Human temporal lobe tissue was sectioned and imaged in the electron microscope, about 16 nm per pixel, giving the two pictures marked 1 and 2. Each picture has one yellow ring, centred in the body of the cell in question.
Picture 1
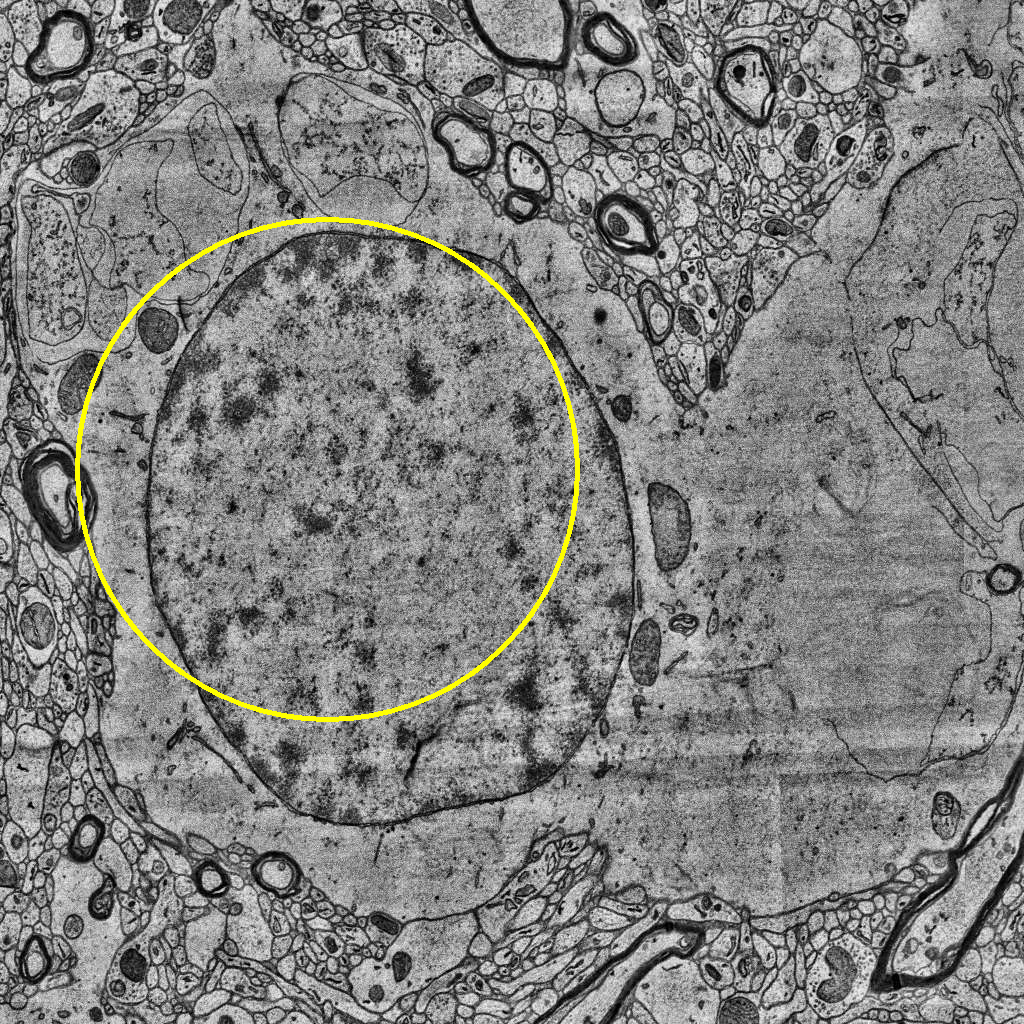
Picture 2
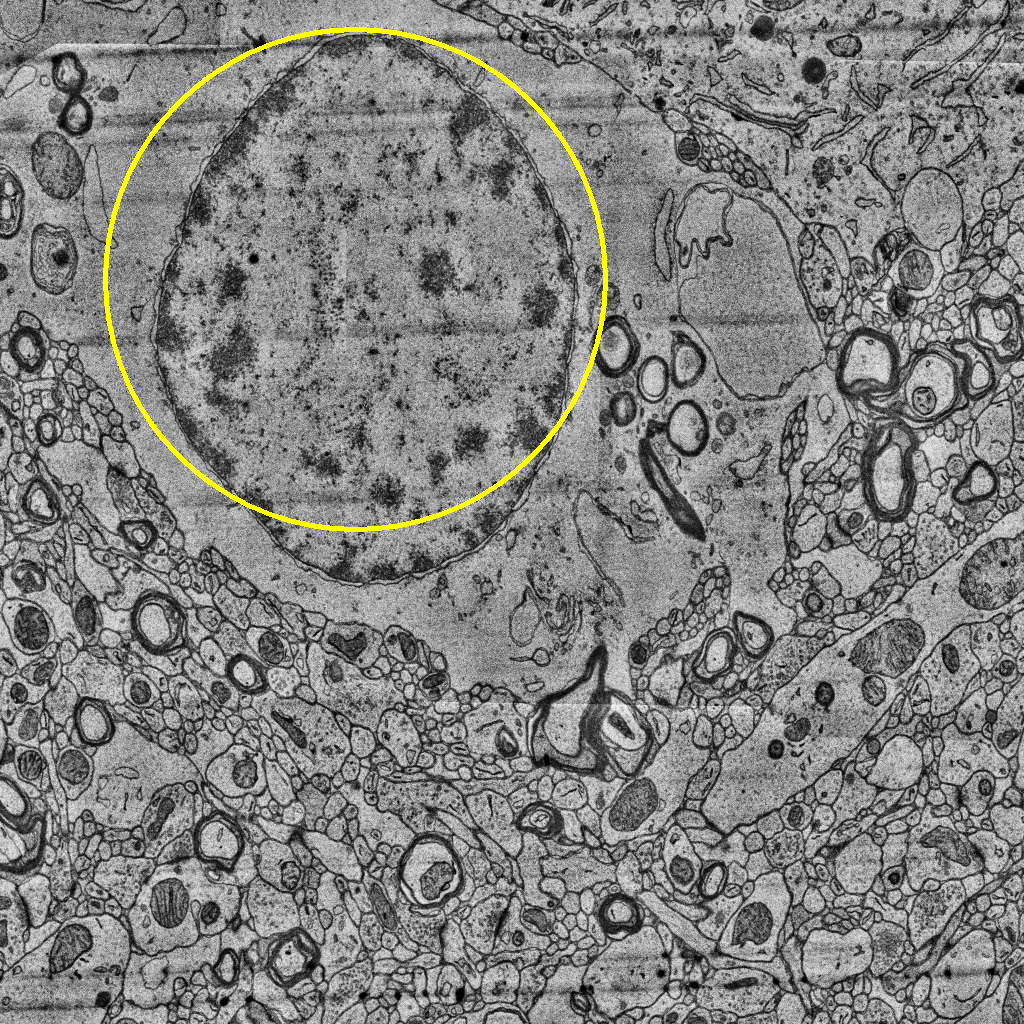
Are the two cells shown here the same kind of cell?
Yes, both are astrocytes.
